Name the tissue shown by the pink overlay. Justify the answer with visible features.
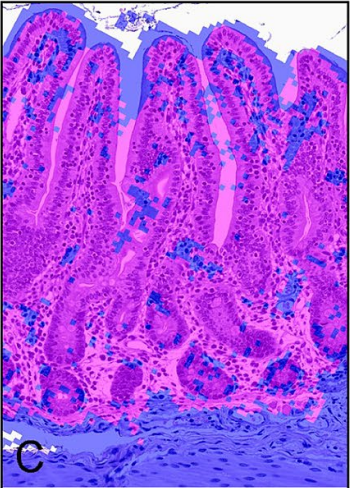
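The pink overlay covers the villi and the crypts. The pink region ends above the pale layer and muscle at the bottom. That points to this answer: mucosa.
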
